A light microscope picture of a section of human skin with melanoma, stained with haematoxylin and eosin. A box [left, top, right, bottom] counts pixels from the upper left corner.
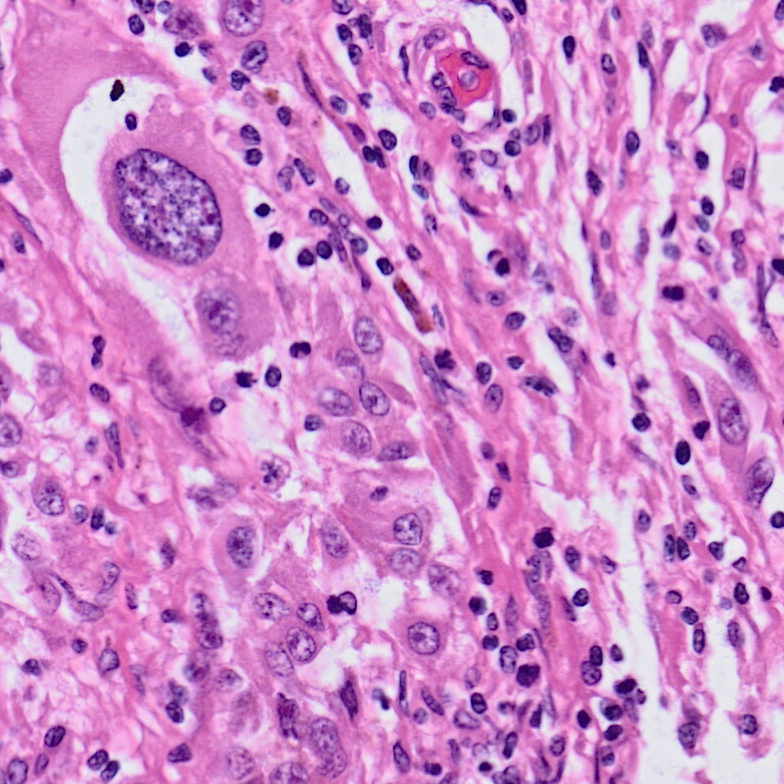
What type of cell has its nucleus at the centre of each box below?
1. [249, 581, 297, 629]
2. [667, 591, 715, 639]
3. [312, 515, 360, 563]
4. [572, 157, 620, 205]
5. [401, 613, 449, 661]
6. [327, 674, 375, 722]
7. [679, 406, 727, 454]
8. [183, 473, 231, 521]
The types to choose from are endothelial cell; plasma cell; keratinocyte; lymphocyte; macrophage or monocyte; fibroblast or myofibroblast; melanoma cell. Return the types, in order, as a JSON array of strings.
["melanoma cell", "lymphocyte", "melanoma cell", "plasma cell", "melanoma cell", "melanoma cell", "lymphocyte", "melanoma cell"]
